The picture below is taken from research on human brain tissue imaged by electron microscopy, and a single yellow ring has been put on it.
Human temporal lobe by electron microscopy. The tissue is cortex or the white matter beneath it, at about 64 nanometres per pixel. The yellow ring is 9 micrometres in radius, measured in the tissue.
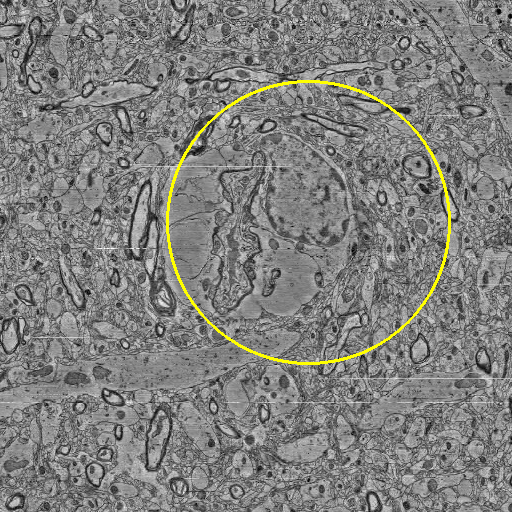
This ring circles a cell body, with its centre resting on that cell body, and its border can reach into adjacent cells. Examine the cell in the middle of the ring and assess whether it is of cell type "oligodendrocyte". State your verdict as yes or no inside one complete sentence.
No, in the picture, the cell lying at the centre of the ring is of a different type.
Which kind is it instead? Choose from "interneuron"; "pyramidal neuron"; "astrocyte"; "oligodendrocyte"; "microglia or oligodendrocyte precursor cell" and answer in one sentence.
Instead, the picture shows a microglial cell or oligodendrocyte precursor cell at the centre of the ring.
